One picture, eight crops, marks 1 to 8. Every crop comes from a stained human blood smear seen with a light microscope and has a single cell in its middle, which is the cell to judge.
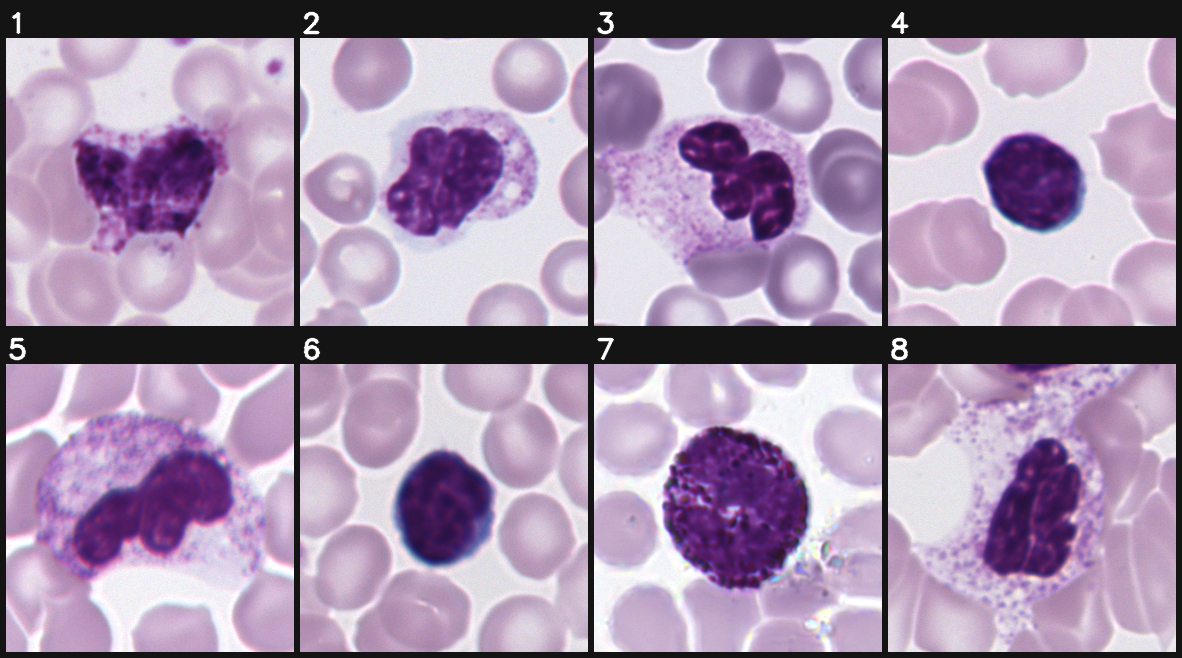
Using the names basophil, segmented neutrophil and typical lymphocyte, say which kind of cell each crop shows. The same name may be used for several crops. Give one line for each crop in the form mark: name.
1: basophil
2: segmented neutrophil
3: segmented neutrophil
4: typical lymphocyte
5: segmented neutrophil
6: typical lymphocyte
7: basophil
8: segmented neutrophil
